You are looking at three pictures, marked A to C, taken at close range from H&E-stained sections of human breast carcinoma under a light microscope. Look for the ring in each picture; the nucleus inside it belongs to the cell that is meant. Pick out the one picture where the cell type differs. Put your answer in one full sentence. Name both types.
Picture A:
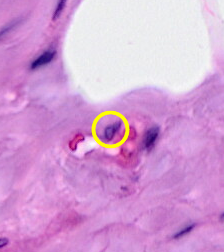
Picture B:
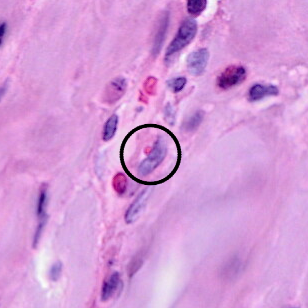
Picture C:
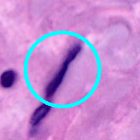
Picture C is the odd one out: it shows a fibroblast, while the others show endothelial cells.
